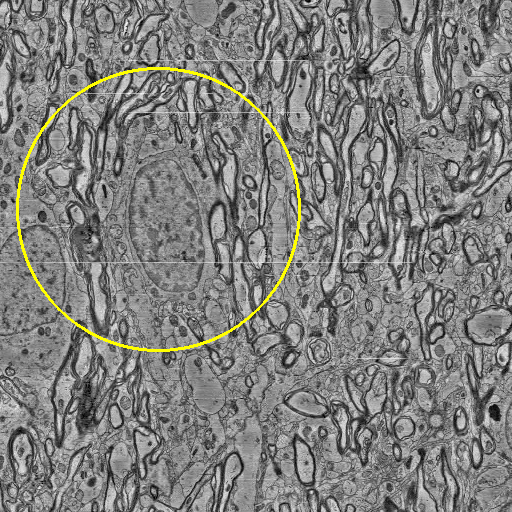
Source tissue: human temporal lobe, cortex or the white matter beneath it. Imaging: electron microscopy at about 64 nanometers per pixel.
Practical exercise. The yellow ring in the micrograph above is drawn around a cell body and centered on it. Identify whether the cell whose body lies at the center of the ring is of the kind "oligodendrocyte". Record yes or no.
yes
